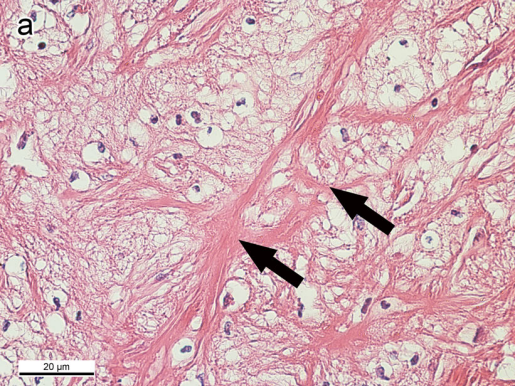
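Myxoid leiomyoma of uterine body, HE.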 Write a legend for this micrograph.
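Sparse cells with small, round to oval dark nuclei lie scattered in a pale, wispy, loosely textured background. Pink, finely fibrillar strands run across the field in crossing bands, more intensely eosinophilic than the surrounding material. Many nuclei sit within clear, bubbly spaces.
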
